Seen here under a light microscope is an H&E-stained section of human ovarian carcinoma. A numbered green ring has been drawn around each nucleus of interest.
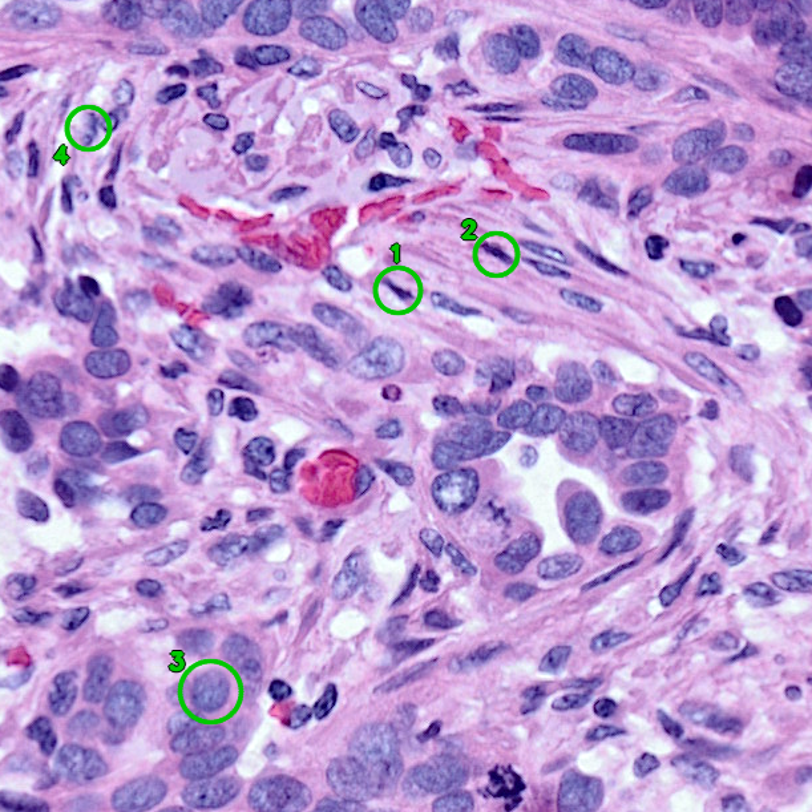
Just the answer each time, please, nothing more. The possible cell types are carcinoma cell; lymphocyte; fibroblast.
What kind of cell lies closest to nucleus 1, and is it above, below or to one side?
a fibroblast, to the right of nucleus 1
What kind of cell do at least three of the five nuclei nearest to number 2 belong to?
fibroblast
